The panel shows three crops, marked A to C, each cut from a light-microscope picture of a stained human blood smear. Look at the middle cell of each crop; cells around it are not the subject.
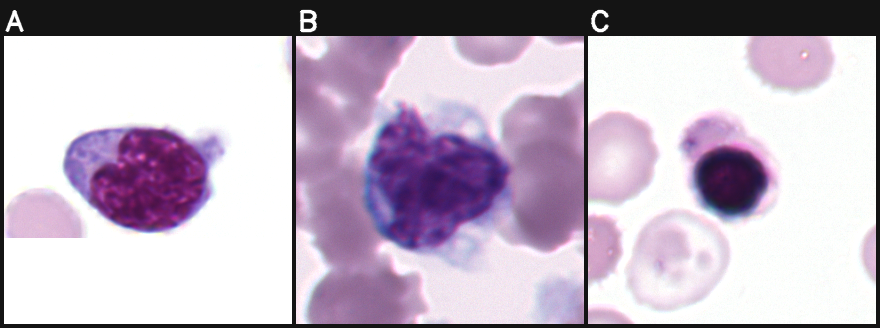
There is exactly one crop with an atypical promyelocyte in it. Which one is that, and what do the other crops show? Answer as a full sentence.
Crop A features an atypical promyelocyte, while crop B is a monocyte and crop C is an erythroblast.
